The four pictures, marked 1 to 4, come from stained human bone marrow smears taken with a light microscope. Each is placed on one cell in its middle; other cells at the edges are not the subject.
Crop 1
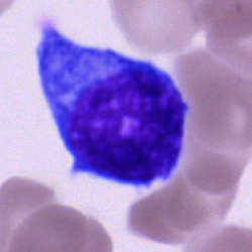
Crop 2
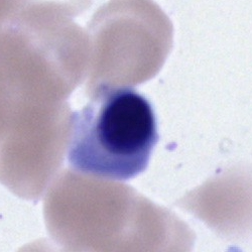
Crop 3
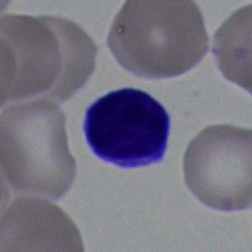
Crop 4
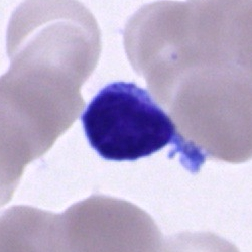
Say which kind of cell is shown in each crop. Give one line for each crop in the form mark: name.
1: blast
2: erythroblast
3: lymphocyte
4: lymphocyte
